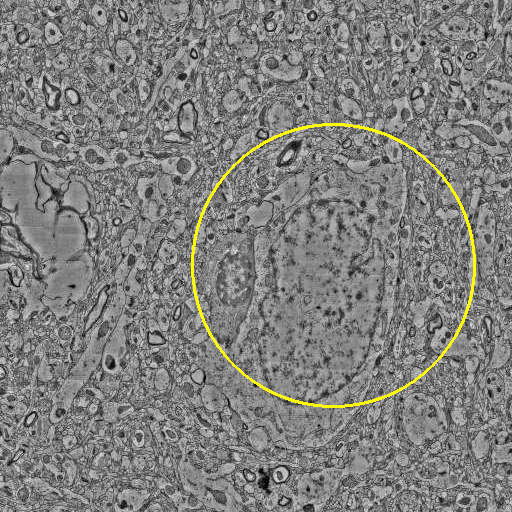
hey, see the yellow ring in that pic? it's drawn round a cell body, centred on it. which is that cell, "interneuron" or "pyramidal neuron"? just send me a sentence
The cell in the ring is an interneuron.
